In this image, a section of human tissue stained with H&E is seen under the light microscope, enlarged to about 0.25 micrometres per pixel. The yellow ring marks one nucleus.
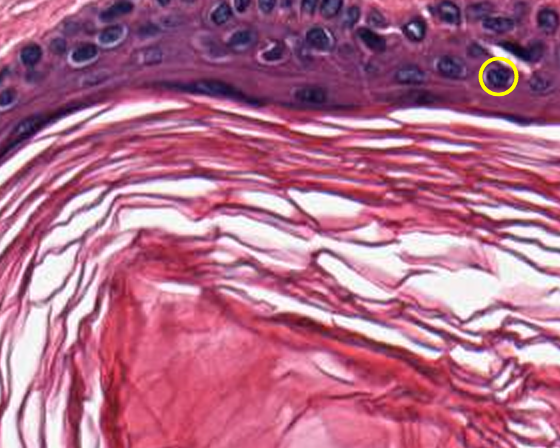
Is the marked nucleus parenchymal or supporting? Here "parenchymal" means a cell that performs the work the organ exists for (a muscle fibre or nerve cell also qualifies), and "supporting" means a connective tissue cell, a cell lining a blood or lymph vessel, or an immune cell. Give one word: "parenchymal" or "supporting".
parenchymal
